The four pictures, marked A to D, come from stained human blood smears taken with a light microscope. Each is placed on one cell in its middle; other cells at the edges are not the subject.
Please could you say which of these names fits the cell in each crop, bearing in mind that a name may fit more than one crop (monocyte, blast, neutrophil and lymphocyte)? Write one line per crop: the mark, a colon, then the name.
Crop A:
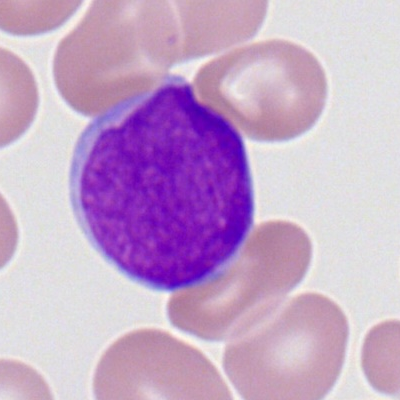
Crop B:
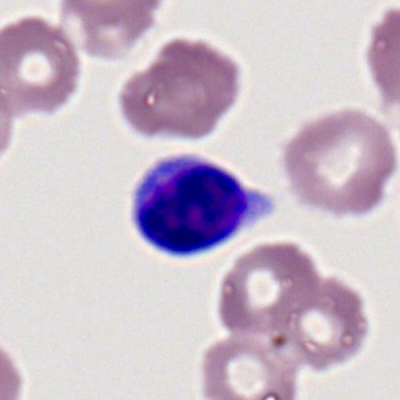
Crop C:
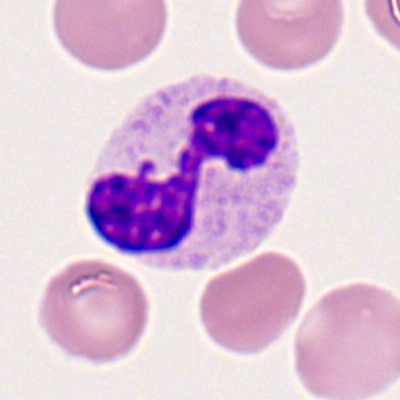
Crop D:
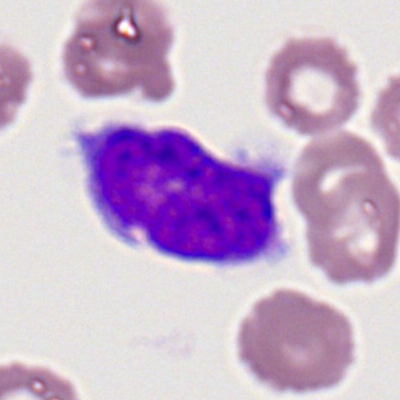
A: blast
B: lymphocyte
C: neutrophil
D: monocyte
